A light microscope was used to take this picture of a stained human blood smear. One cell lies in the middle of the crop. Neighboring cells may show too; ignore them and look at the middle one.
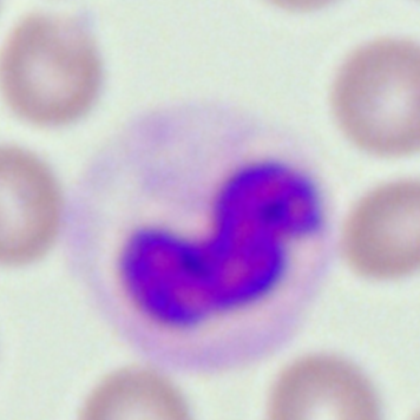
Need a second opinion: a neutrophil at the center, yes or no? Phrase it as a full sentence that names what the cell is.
Yes, the middle cell in this crop is a neutrophil.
